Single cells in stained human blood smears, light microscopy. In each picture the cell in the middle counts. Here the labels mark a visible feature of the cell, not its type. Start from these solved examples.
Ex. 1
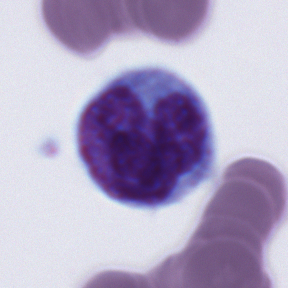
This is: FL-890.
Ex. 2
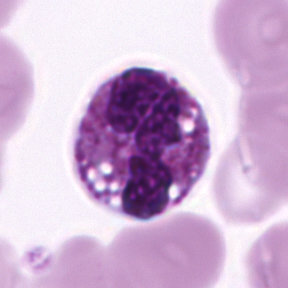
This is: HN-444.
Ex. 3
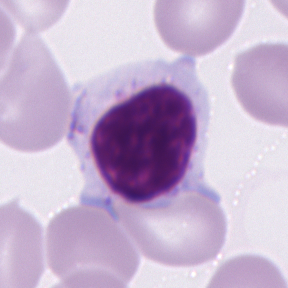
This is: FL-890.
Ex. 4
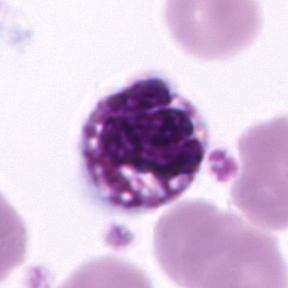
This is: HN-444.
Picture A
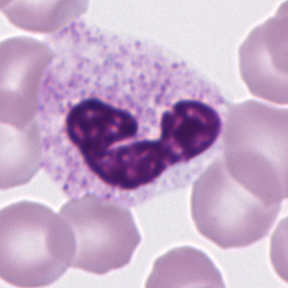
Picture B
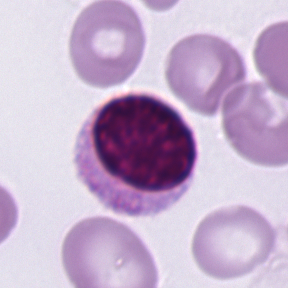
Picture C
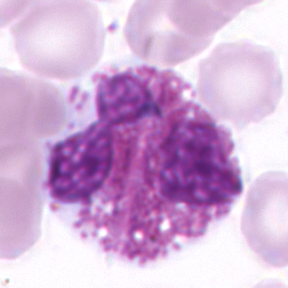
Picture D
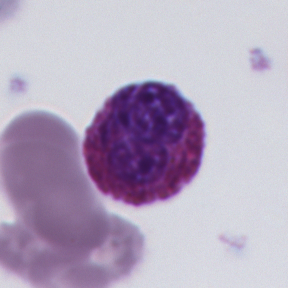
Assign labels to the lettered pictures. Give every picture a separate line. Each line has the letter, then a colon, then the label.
A: FL-890.
B: FL-890.
C: HN-444.
D: FL-890.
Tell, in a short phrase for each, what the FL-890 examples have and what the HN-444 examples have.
In FL-890: no vacuoles. In HN-444: vacuoles present.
